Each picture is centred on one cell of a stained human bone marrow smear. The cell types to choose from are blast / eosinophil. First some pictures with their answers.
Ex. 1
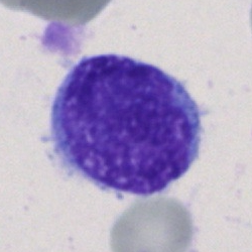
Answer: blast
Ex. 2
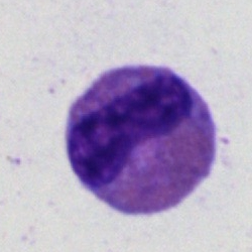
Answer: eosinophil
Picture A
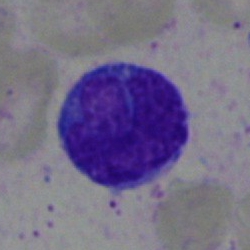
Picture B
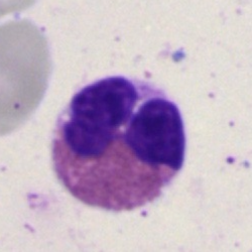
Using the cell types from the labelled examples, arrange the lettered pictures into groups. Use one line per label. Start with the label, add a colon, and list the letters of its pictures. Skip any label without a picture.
blast: A
eosinophil: B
